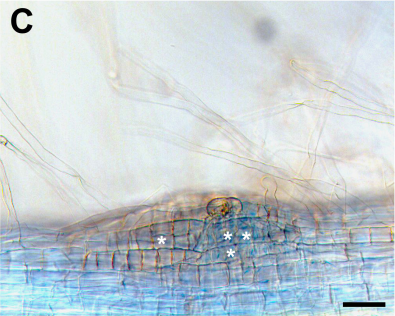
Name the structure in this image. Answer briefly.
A: Nodule primordium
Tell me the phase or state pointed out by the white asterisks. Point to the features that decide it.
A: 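Cell division. The asterisks lie on a cluster of small, closely packed cells inside the root. These cells are smaller than the surrounding elongated cells.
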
